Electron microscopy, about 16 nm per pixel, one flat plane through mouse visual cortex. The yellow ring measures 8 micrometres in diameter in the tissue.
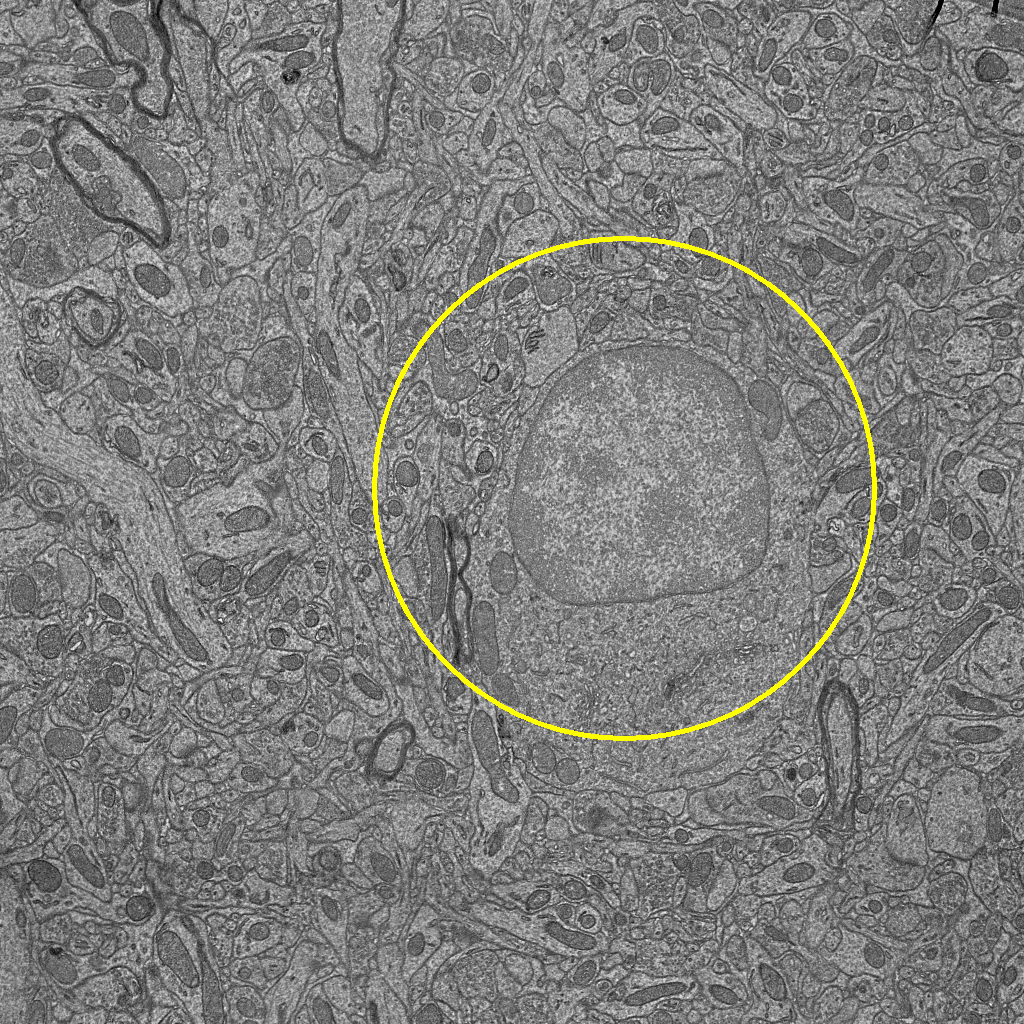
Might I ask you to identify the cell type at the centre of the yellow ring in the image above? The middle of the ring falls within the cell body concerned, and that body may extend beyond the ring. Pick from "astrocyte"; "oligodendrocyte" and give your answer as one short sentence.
The centre of the ring falls on an oligodendrocyte.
